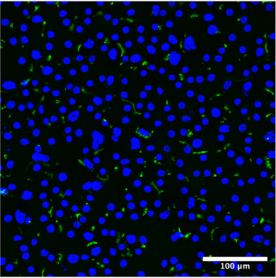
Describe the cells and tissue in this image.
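Blue nuclei are round to oval, fairly uniform in size, and closely spaced across the whole field, with a few larger or brighter ones scattered among them. Cell borders are not themselves visible. Between the nuclei run many short, narrow green lines, some straight, some curved or branched, marking tubular canaliculi that lie at the junctions between neighbouring cells rather than over the nuclei. The green structures are scattered fairly evenly across the field, each spanning roughly the width of one or two nuclei.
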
